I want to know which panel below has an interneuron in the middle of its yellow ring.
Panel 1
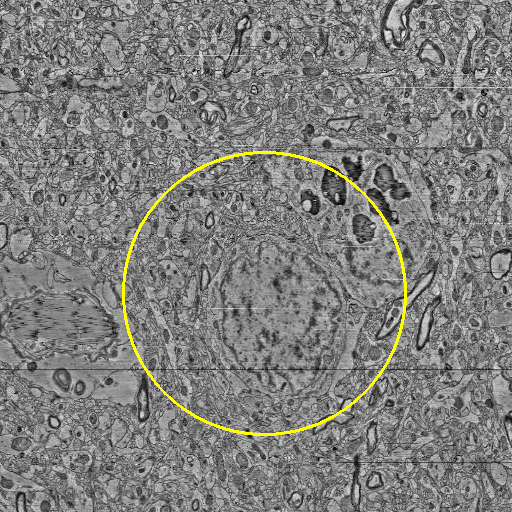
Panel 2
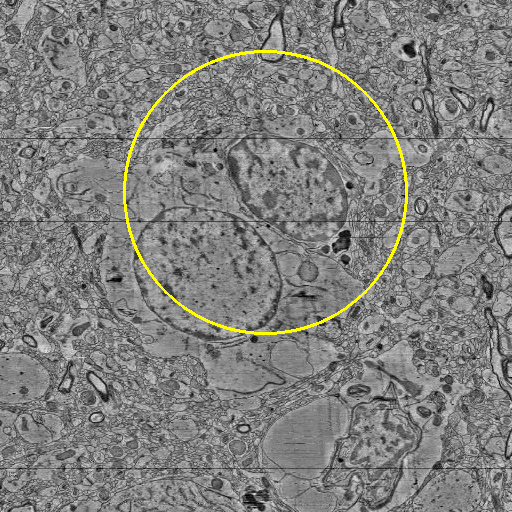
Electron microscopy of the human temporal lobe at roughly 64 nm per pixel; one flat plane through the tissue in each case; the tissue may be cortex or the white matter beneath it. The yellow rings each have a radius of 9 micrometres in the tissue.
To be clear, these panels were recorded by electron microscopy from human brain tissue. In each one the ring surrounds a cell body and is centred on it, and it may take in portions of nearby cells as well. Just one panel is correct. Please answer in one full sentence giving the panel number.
Panel 1 has the requested cell sitting at the centre of its ring.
